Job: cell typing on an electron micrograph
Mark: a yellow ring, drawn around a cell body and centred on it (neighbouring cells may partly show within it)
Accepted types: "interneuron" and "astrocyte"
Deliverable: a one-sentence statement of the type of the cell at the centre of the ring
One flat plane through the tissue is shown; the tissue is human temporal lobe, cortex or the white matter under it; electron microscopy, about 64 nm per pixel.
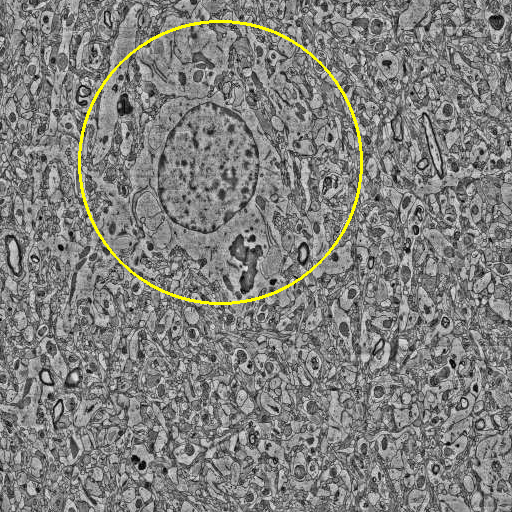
The centred cell body is that of an astrocyte.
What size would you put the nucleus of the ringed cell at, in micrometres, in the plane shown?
About 8 micrometres by about 6 micrometres in this plane.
